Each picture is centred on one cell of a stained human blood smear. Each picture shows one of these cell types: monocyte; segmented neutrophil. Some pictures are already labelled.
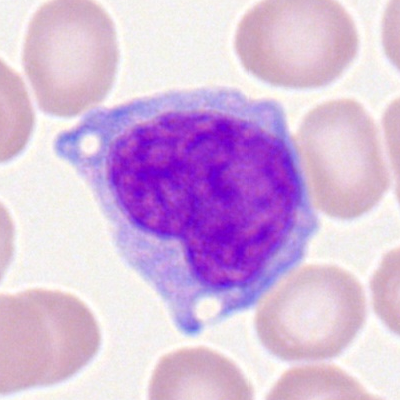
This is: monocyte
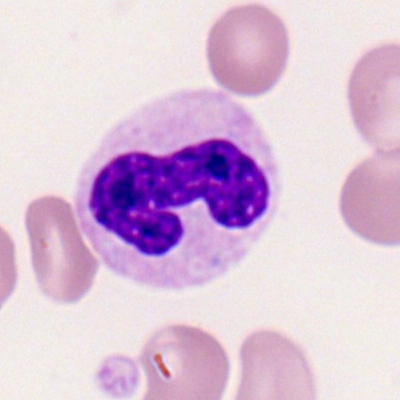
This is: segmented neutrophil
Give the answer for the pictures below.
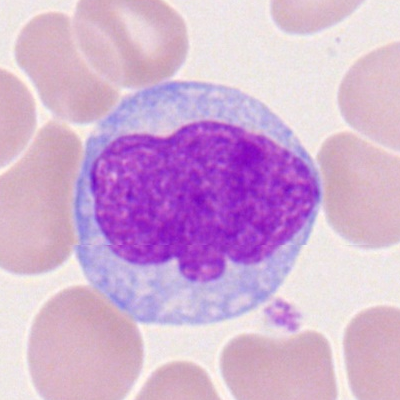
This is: monocyte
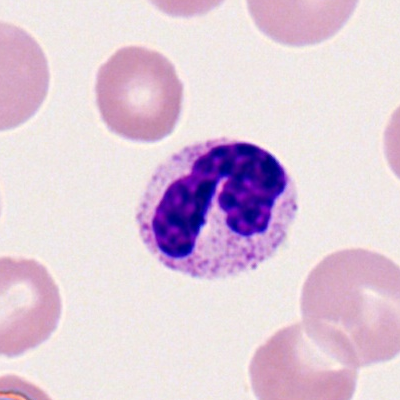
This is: segmented neutrophil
